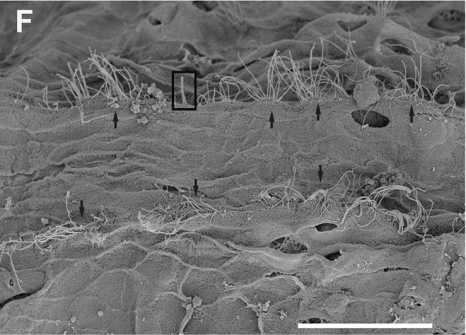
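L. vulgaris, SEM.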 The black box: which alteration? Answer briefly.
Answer: fused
